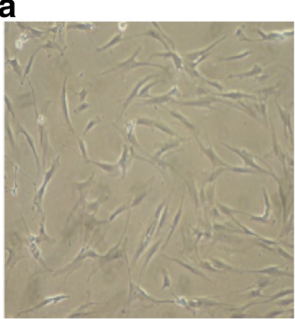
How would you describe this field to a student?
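An unstained adherent culture seen at low magnification shows many flat, elongated cells scattered over a grey background. Most cells are slender with two tapering ends, some with thin extensions reaching toward neighbours. In places the cells run roughly parallel in loose streams, elsewhere they cross at angles, leaving open spaces between them. A few small bright rounded bodies stand out against the dish.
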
